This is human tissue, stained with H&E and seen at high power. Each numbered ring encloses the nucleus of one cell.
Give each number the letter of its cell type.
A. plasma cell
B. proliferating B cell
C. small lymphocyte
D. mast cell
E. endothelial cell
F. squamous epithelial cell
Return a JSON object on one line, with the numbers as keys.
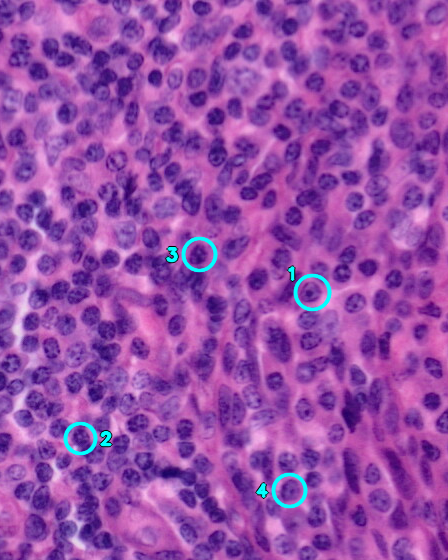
{"1": "A", "2": "C", "3": "A", "4": "A"}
